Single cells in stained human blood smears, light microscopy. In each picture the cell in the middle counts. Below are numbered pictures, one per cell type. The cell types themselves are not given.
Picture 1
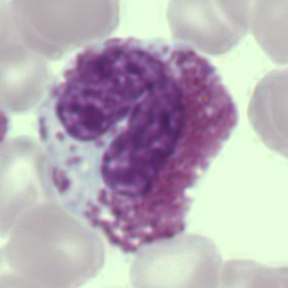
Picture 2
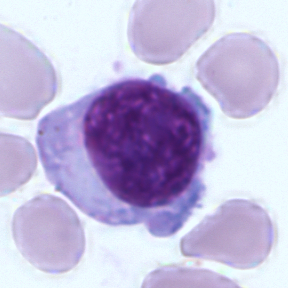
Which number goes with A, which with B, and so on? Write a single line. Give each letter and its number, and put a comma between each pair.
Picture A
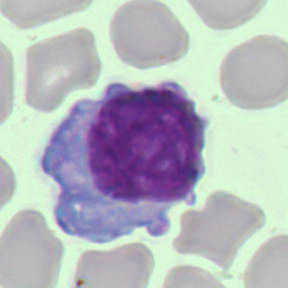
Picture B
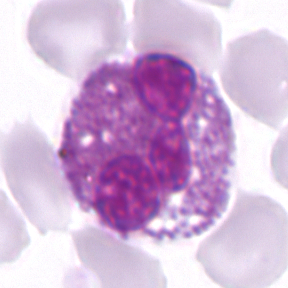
A 2, B 1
